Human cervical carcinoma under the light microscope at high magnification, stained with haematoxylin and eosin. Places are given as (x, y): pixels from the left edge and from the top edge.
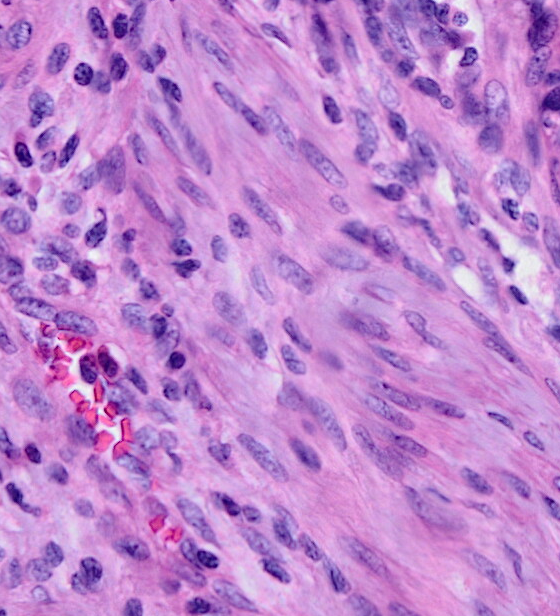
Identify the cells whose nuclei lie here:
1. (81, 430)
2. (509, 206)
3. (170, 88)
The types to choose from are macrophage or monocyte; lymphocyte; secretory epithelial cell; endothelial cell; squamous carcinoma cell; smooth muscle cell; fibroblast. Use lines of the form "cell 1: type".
cell 1: endothelial cell
cell 2: lymphocyte
cell 3: lymphocyte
